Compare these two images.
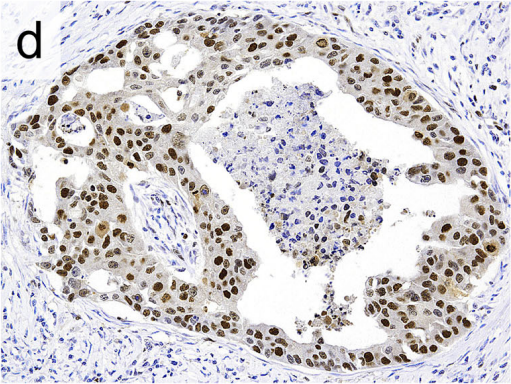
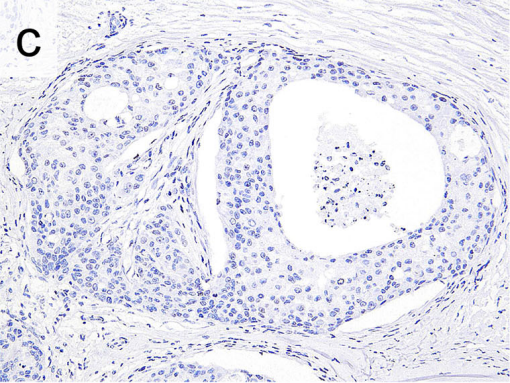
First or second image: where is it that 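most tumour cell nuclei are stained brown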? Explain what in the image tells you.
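First image: most tumour nuclei in the nest are dark brown. Second image: the tumour nuclei are blue, with no brown stain.
Conclusion: the first image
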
